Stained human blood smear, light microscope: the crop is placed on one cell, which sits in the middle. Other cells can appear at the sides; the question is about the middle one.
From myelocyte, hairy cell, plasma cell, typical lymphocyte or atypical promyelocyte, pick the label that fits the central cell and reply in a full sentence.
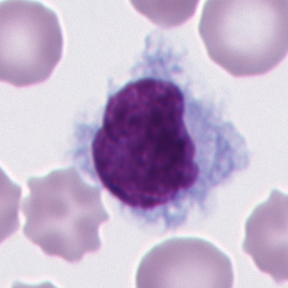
Here the cell in the middle is a hairy cell.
